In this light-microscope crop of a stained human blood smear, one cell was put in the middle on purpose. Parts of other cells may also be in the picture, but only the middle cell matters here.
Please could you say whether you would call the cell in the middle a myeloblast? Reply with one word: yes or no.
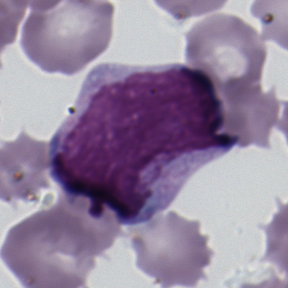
yes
